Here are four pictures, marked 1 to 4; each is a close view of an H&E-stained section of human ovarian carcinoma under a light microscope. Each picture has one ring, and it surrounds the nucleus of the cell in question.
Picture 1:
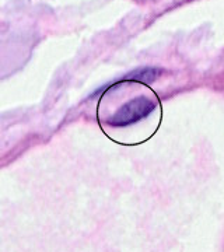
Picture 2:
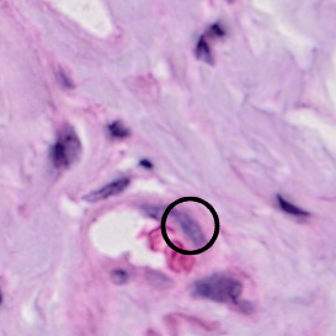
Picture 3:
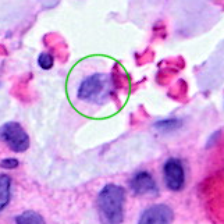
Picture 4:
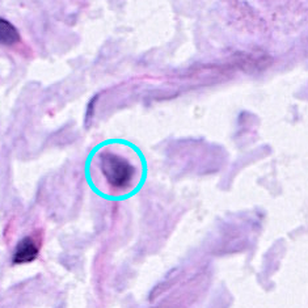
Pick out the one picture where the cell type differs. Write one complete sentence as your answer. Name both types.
All pictures except 4 show endothelial cells; picture 4 shows a fibroblast.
